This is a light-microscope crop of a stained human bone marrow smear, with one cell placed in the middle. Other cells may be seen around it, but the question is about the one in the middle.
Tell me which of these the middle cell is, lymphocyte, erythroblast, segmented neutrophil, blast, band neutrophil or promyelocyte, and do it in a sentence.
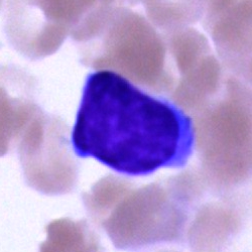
The identification for the central cell is a lymphocyte.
